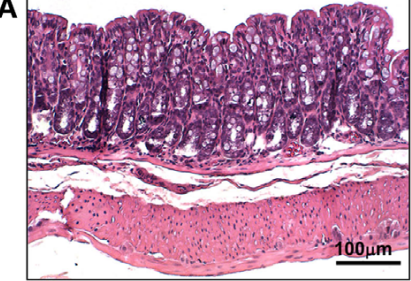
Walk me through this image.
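A section of colon wall in which the mucosa consists of straight, closely packed tubular crypts lined by columnar epithelium with many pale, rounded goblet cells, and dark purple nuclei at the crypt bases. Beneath the crypts lie a thin pink muscularis mucosae, a loose, pale submucosa, and a thick pink layer of smooth muscle with scattered elongated nuclei.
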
